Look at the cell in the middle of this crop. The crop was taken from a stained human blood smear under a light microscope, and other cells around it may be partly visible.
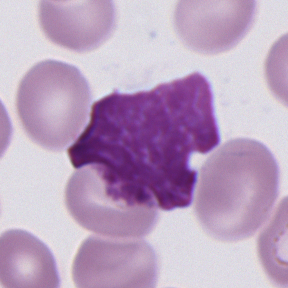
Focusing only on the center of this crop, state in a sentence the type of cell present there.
Centred in the crop is a smudge cell.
